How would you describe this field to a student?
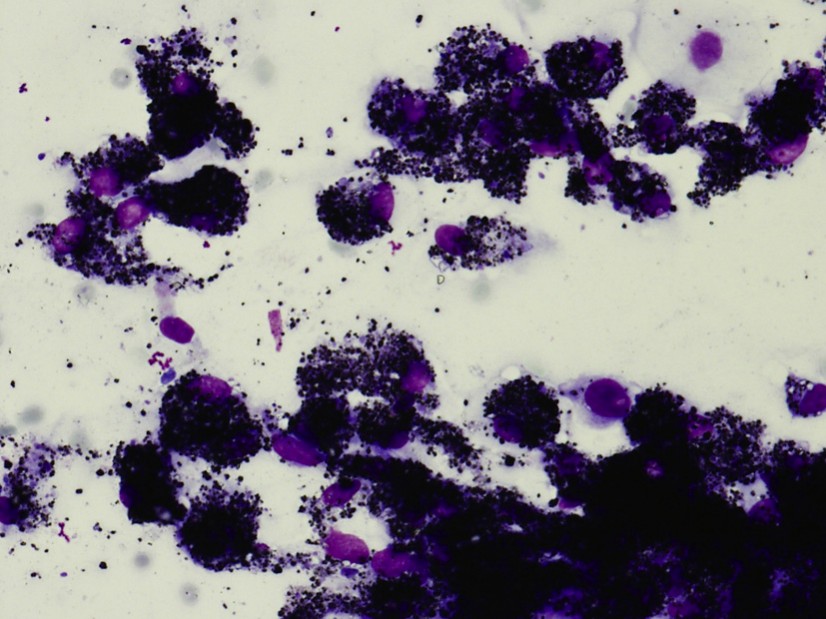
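This smear shows many macrophages, lying singly and in loose clusters. Their cytoplasm is full of coarse black granules of anthracotic pigment. The pigment is dense enough in most cells to hide the cell border and part of the nucleus. Each cell has a round to oval purple nucleus, often pushed to one side. At the lower right, the pigment-laden cells merge into a dark, crowded aggregate. A few small cells without pigment are also present.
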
